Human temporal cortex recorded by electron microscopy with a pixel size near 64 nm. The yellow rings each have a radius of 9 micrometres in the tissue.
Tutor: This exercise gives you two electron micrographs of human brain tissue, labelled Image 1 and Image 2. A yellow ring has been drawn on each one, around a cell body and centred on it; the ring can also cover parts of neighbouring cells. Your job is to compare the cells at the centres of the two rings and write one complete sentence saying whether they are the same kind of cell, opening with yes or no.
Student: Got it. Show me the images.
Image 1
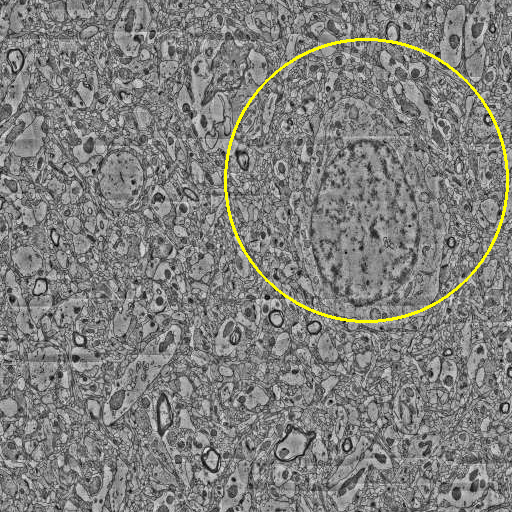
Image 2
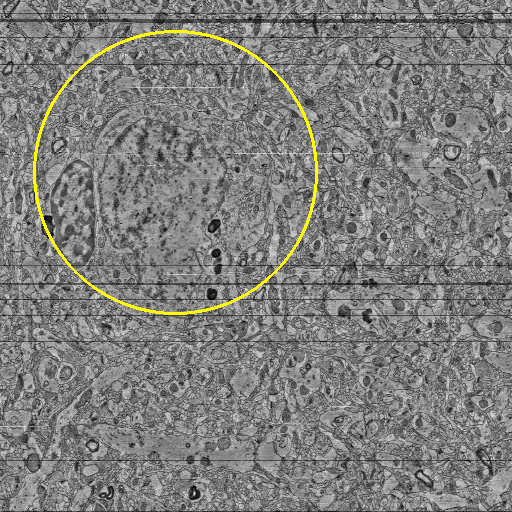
Yes, the two cells belong to the same kind.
